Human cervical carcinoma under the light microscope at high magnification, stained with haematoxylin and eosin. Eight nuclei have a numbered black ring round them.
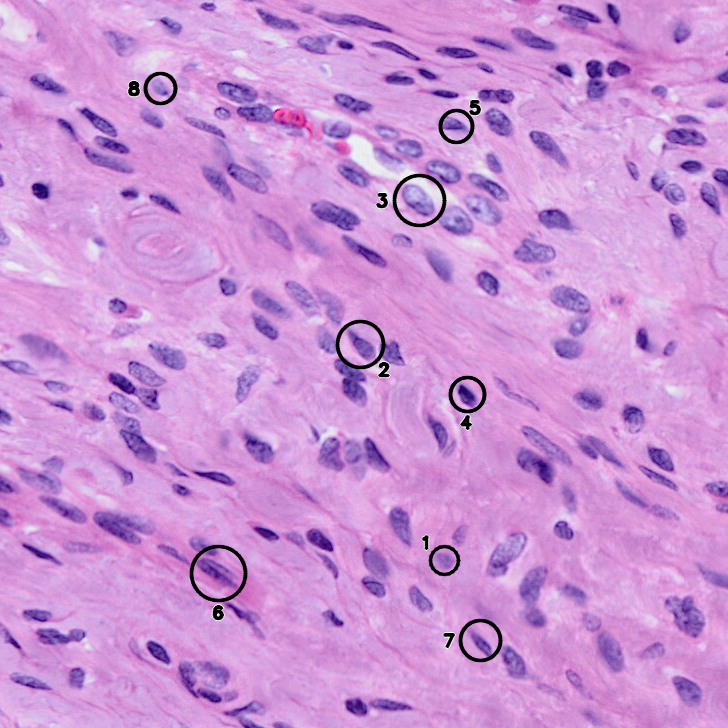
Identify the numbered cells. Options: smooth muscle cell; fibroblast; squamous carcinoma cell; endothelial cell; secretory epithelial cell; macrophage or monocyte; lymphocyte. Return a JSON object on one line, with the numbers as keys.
{"1": "fibroblast", "2": "fibroblast", "3": "endothelial cell", "4": "lymphocyte", "5": "fibroblast", "6": "endothelial cell", "7": "fibroblast", "8": "fibroblast"}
